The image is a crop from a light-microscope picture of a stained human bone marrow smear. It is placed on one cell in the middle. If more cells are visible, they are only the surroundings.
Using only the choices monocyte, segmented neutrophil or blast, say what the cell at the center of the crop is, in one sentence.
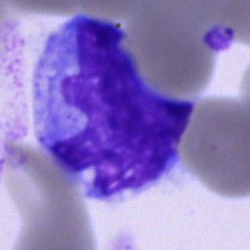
As for the central cell, it is a monocyte.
